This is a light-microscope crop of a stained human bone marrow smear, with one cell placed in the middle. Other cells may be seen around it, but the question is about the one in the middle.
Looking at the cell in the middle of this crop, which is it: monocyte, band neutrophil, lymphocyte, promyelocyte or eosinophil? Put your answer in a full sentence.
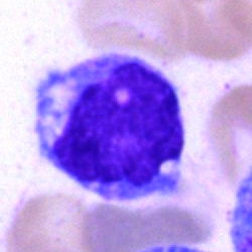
Here the cell in the middle is a monocyte.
